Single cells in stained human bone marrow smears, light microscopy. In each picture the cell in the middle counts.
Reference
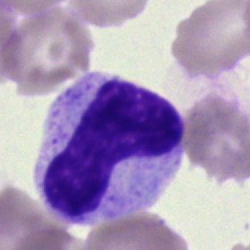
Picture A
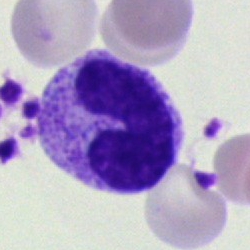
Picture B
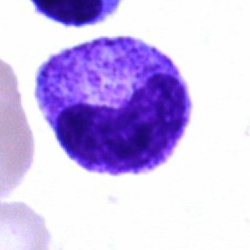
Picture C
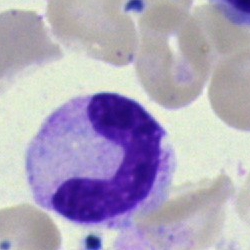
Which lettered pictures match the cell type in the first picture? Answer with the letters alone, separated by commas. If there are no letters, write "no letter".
A, B, C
